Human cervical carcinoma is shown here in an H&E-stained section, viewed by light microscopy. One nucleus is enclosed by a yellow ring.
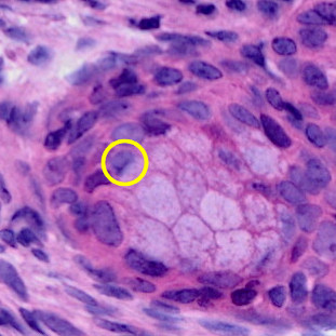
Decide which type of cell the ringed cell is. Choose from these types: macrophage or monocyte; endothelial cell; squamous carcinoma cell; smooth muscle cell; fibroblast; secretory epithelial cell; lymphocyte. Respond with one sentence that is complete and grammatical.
The cell type of the ringed cell is that of a secretory epithelial cell.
